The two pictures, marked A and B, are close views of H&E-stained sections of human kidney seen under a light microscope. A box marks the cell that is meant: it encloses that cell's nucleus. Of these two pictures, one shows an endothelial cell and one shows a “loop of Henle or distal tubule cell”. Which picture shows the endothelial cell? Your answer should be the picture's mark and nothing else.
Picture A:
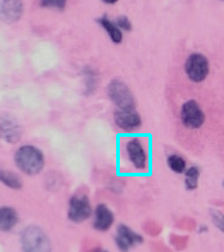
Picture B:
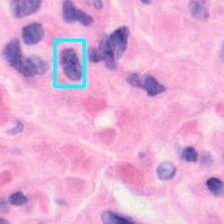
B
